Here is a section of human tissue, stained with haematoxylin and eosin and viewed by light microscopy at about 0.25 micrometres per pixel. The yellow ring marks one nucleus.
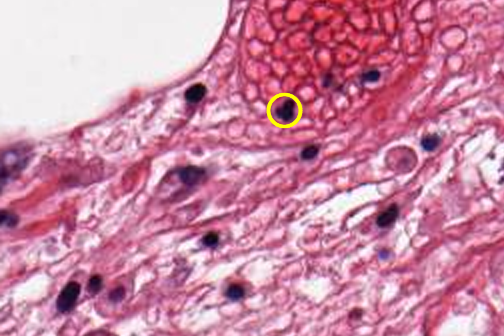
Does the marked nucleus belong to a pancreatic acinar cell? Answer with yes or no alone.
no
